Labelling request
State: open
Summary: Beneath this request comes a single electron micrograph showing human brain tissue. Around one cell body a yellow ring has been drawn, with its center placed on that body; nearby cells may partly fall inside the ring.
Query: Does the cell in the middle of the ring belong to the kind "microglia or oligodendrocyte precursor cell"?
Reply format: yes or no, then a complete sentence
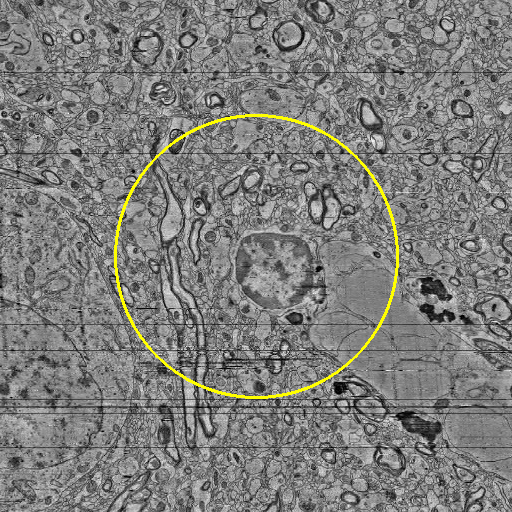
Yes, the cell sitting at the center of the ring in this picture is of that kind.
